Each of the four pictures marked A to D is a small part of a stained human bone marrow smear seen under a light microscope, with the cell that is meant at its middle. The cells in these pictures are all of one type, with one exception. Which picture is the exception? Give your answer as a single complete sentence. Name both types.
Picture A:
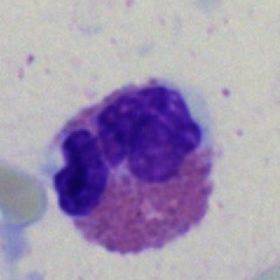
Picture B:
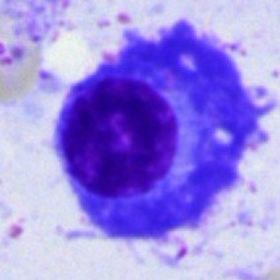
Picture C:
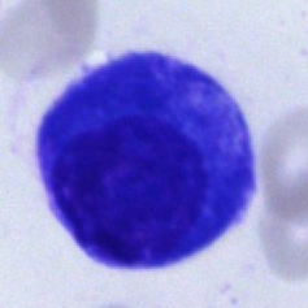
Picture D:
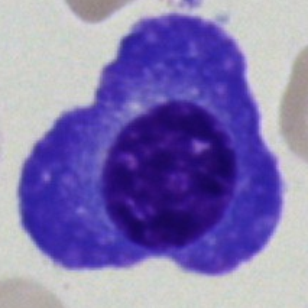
All pictures except A show plasma cells; picture A shows an eosinophil.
